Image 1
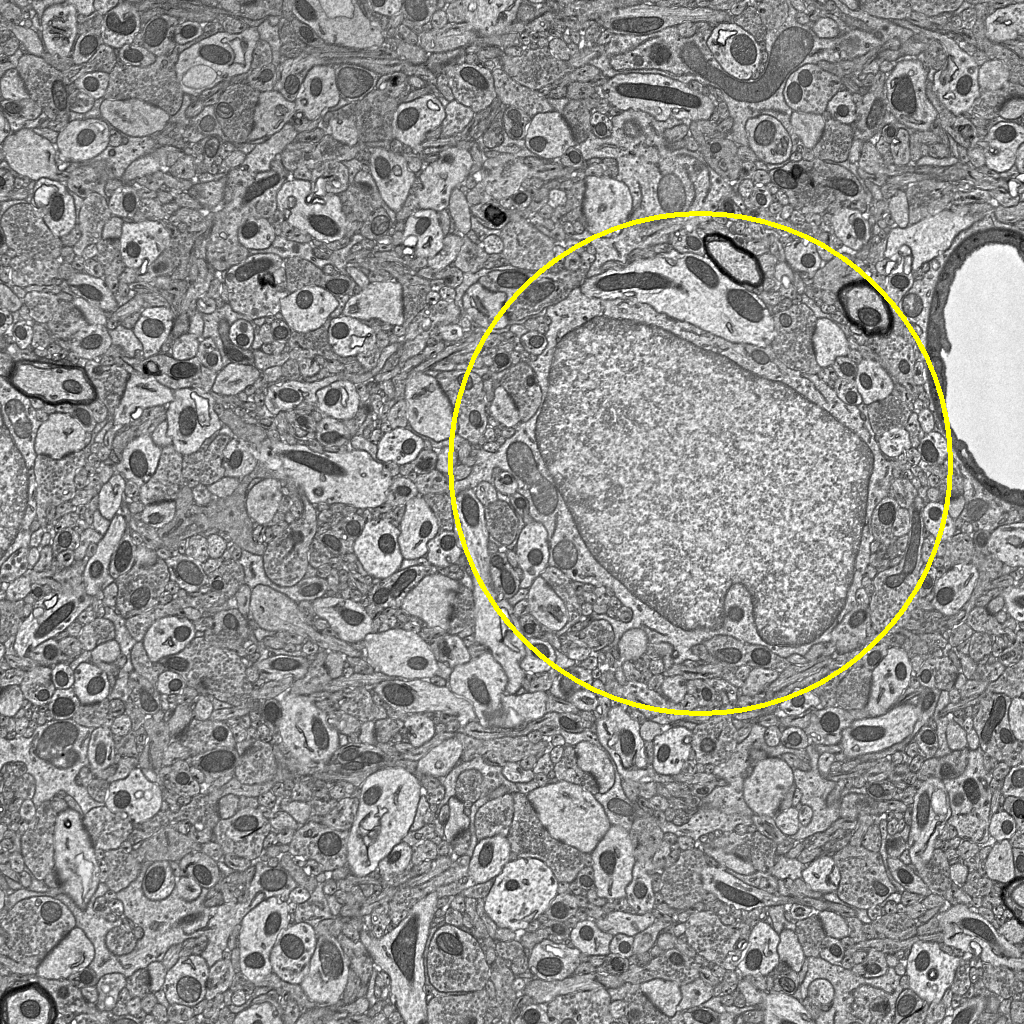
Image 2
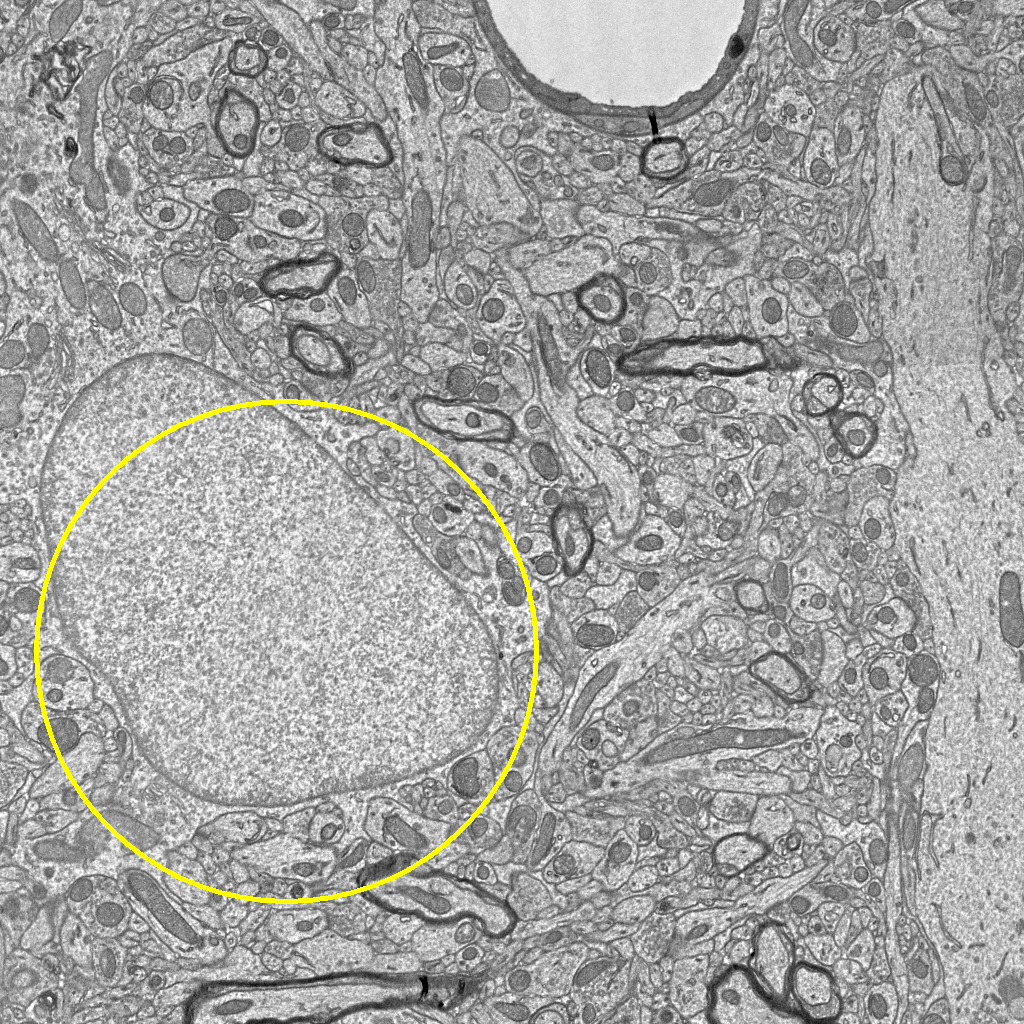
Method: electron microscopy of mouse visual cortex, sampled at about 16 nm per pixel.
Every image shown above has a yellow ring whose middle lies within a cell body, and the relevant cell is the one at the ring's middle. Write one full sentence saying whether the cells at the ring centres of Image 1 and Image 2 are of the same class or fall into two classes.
The cell at the ring's centre in Image 1 and its counterpart in Image 2 are of the same class.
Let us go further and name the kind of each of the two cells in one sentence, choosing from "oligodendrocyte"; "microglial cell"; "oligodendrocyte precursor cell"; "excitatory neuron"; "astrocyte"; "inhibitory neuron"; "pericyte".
The cell at the ring centre is an astrocyte in both pictures.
